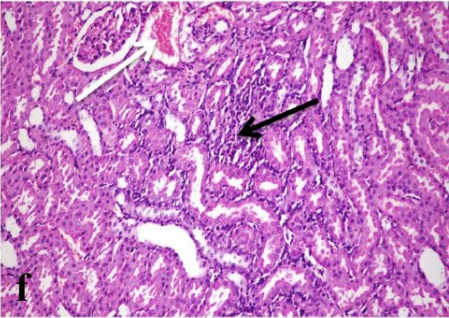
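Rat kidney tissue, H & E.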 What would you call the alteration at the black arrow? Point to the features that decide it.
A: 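The arrow points to a patch crowded with small dark nuclei among the tubules. The patch is denser in nuclei than the surrounding cortex. The answer: focal area of mononuclear inflammatory cells infiltration.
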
